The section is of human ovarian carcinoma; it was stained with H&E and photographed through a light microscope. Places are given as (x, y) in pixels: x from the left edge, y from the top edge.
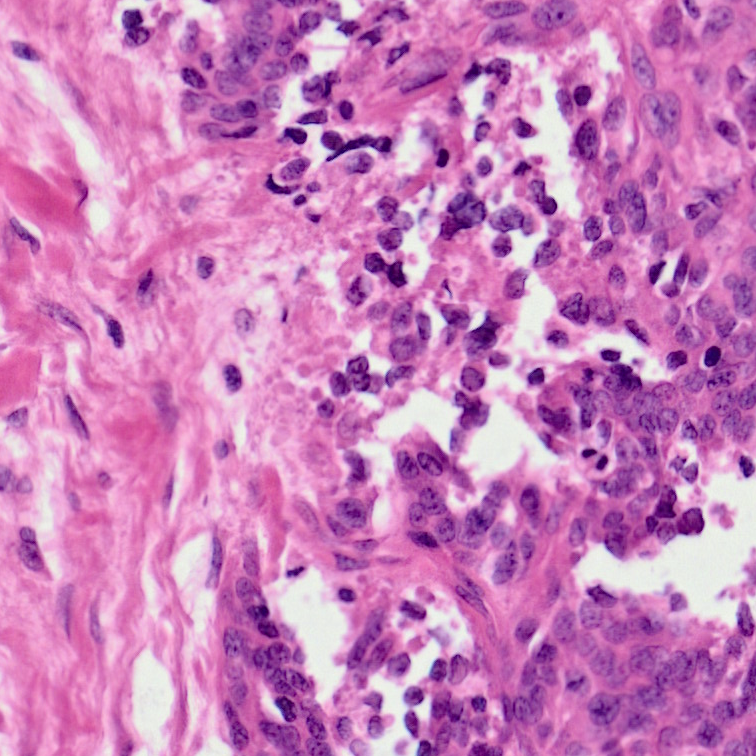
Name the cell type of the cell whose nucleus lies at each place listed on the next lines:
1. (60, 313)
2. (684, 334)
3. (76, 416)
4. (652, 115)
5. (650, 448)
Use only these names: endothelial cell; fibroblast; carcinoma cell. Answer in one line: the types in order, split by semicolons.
fibroblast; carcinoma cell; fibroblast; endothelial cell; carcinoma cell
